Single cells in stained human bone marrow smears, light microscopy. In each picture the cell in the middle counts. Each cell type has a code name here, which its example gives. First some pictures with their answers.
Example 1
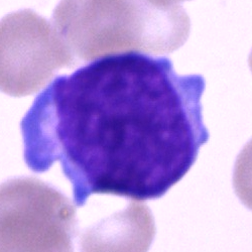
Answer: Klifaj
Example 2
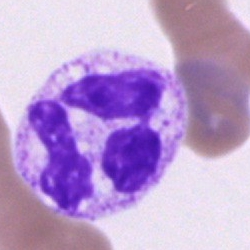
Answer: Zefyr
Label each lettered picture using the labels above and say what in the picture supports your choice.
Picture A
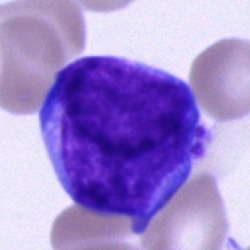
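Klifaj. The cytoplasm forms only a narrow rim around the nucleus.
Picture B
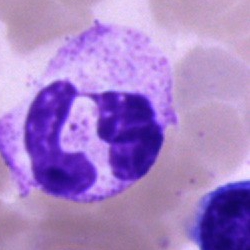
Zefyr. Fine purple granules are scattered throughout the cytoplasm.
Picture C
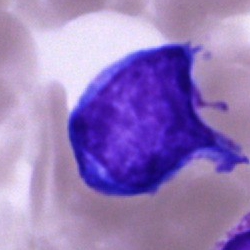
Klifaj. The chromatin looks finely textured, with paler mottled patches rather than coarse dark clumps.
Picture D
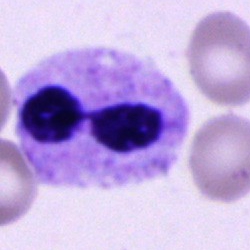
Zefyr. Abundant pale lilac cytoplasm surrounds the nucleus.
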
